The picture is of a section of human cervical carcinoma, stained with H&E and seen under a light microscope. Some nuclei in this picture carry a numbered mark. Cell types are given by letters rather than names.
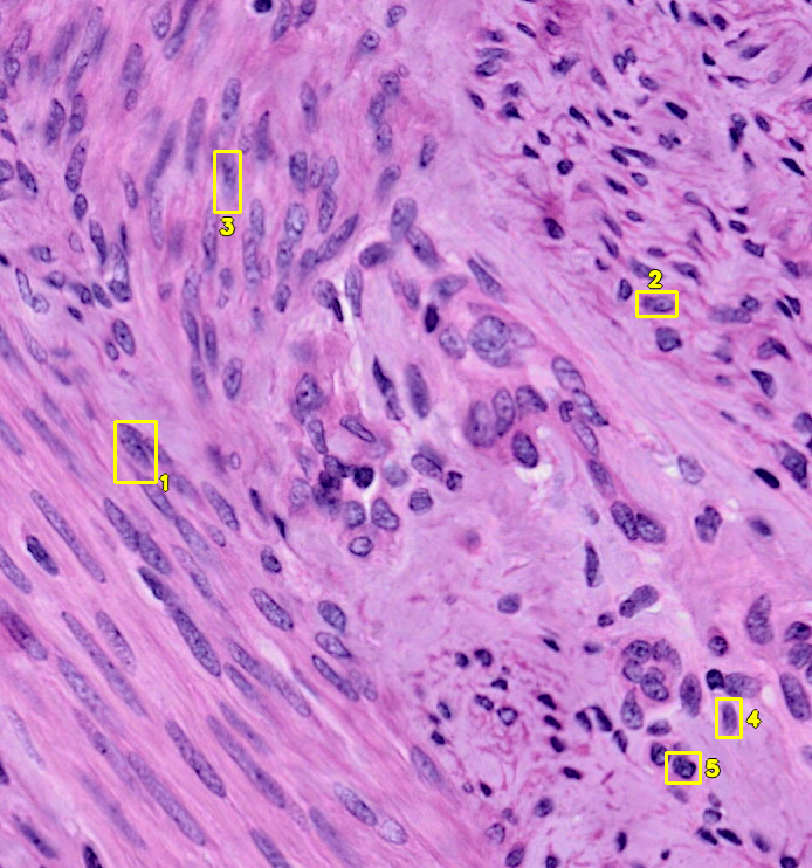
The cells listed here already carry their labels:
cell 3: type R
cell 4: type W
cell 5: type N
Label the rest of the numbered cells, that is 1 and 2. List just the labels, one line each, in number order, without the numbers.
type R
type R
